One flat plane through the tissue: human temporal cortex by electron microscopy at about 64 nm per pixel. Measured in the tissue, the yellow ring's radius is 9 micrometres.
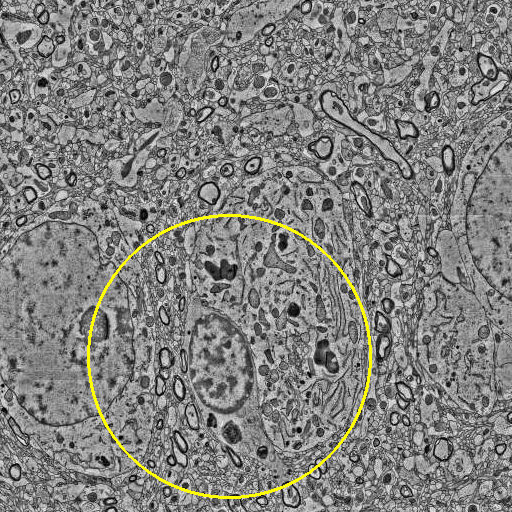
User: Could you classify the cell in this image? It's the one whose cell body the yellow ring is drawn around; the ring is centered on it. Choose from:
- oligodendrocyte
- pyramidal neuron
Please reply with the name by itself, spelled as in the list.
oligodendrocyte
